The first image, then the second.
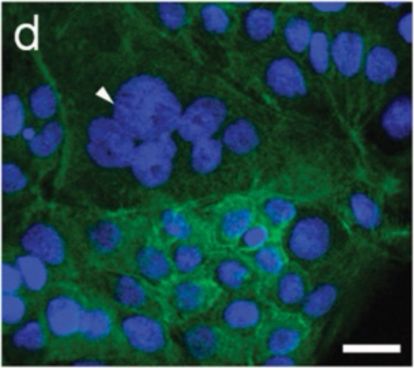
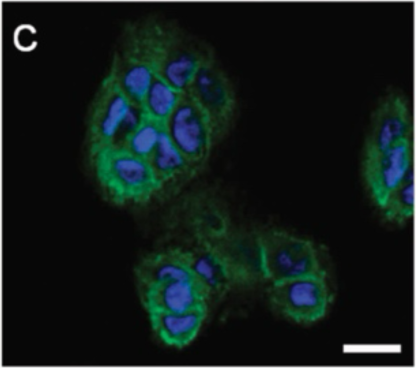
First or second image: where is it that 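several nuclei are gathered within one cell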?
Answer: The first image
